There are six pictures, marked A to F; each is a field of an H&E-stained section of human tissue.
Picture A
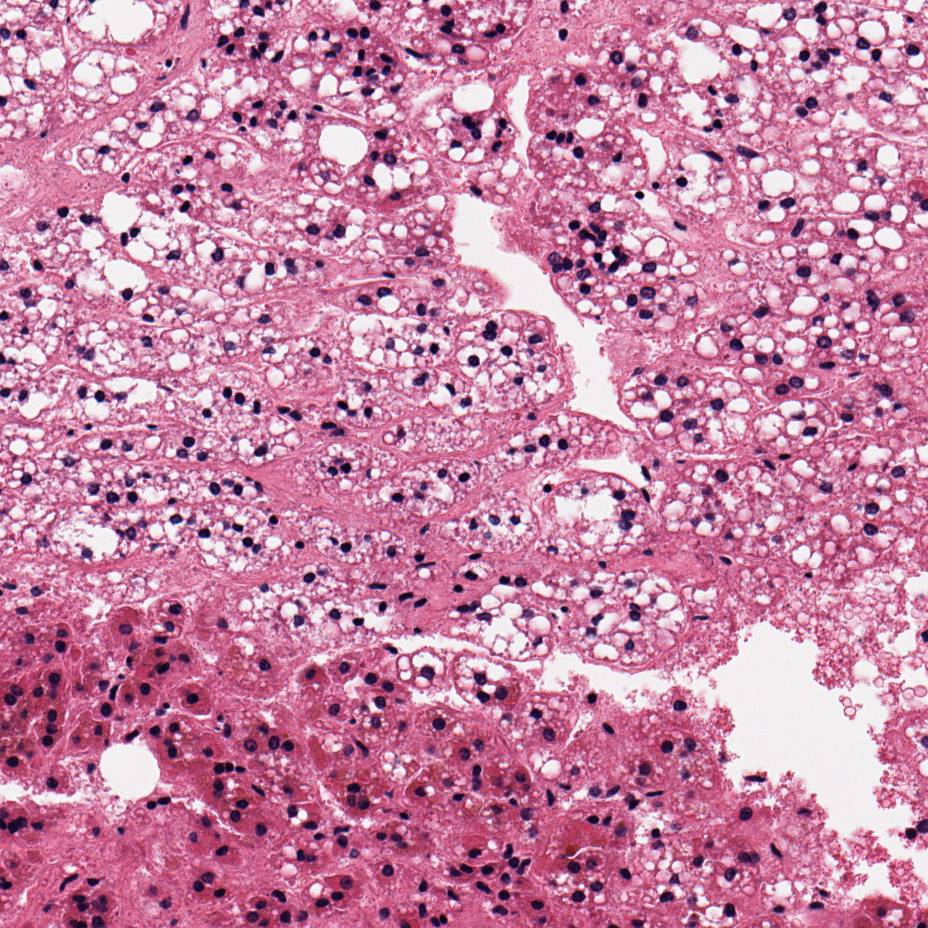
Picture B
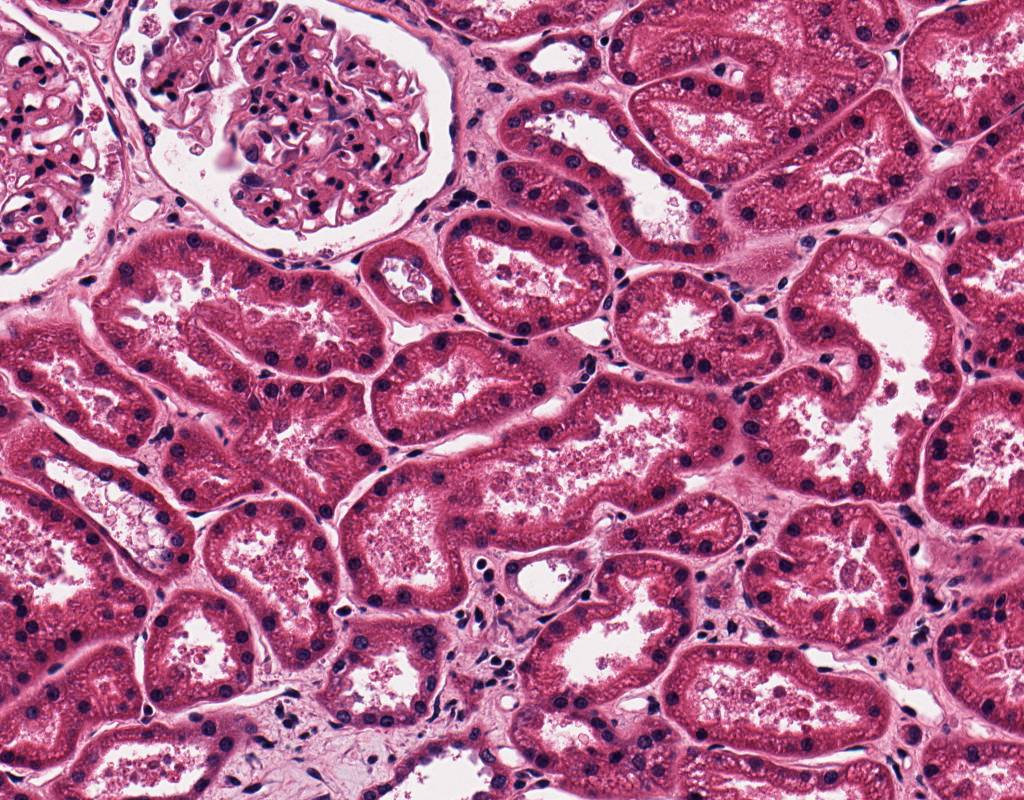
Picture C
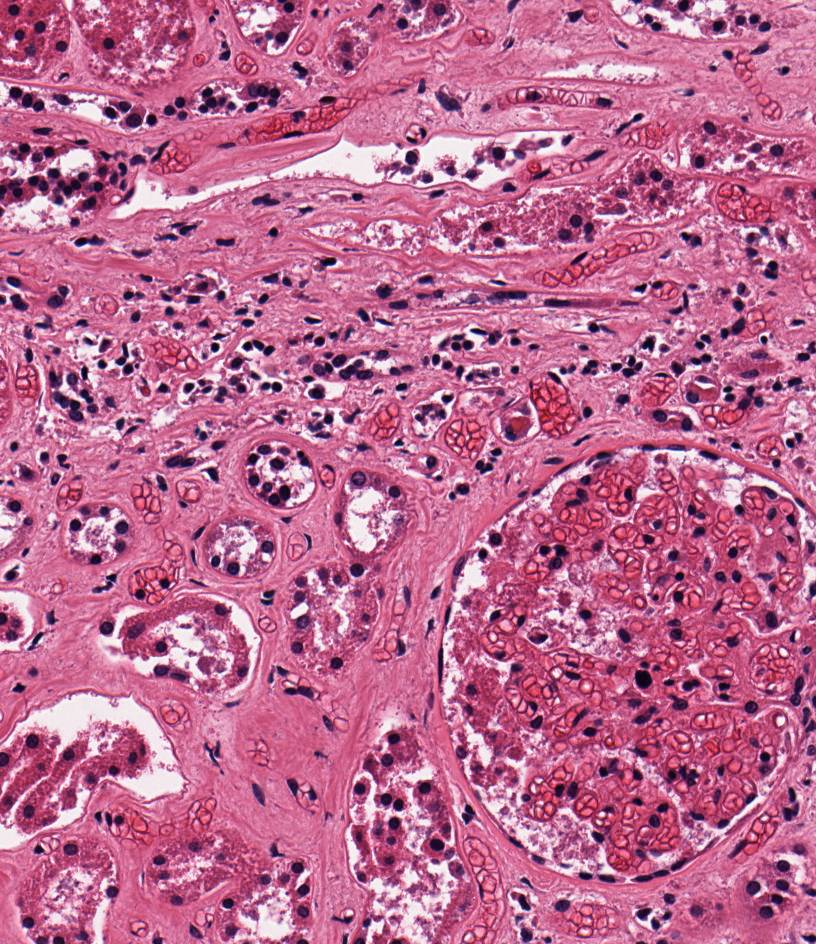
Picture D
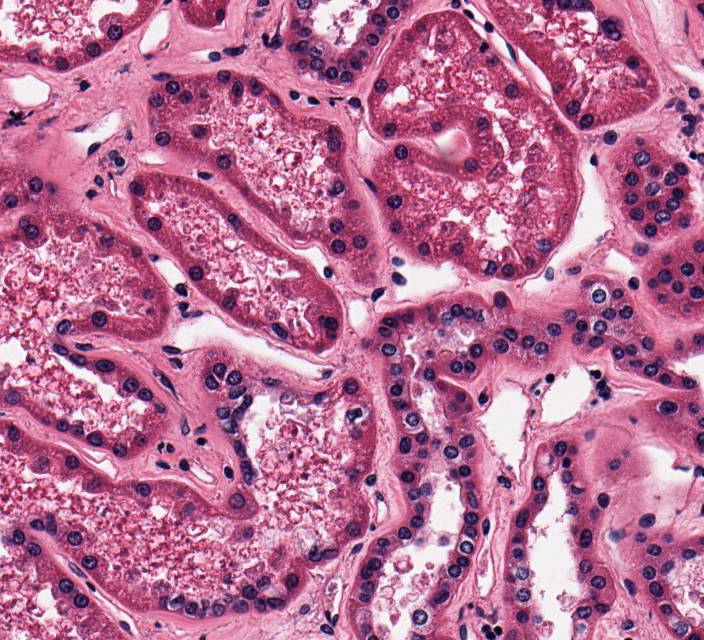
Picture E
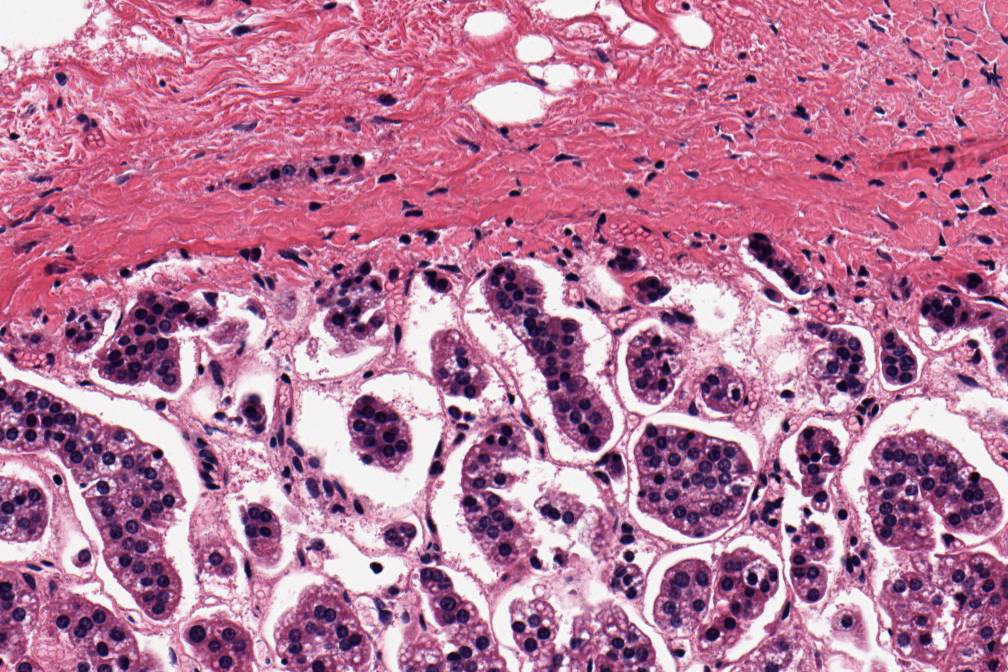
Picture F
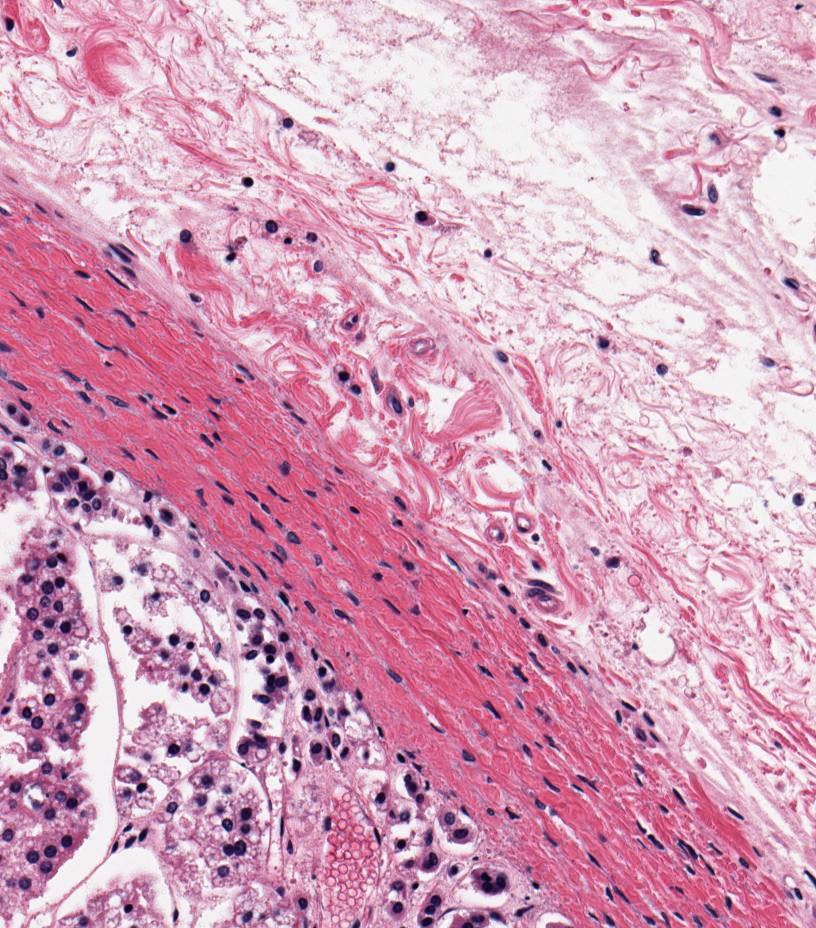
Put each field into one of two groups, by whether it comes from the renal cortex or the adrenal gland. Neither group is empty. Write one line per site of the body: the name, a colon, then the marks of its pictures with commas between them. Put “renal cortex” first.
renal cortex: B, C, D
adrenal gland: A, E, F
